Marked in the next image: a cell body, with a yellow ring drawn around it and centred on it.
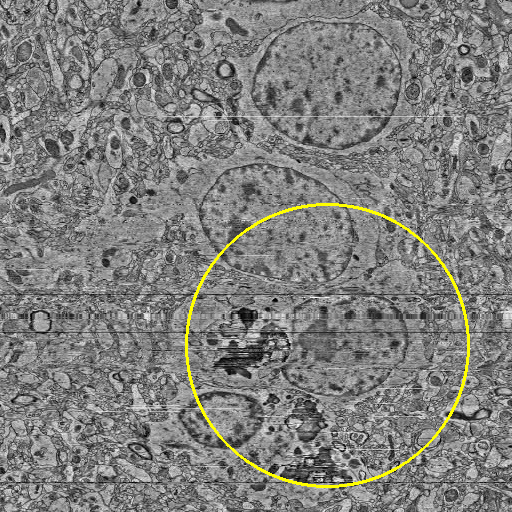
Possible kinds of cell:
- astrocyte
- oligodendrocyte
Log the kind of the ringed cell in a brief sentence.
The ringed cell body is that of an astrocyte.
